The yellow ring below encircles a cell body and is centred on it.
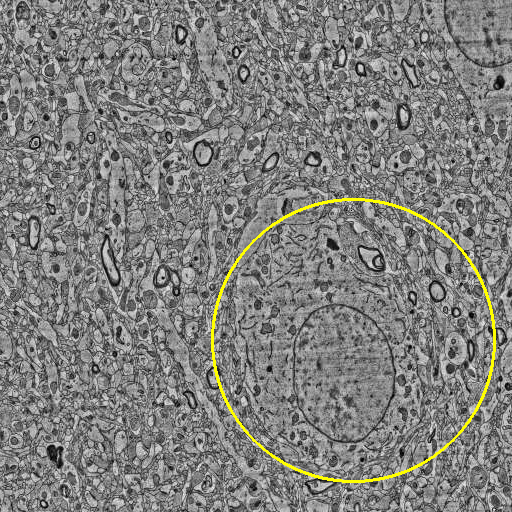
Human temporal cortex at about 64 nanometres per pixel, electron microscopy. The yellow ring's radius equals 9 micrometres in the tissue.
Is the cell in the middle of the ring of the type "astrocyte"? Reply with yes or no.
no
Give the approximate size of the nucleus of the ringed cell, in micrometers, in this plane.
Approximately 9 by 7 micrometers in this plane.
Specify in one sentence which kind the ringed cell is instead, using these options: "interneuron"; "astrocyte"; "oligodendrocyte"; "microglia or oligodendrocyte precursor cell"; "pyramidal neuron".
Instead, the cell inside the ring is a pyramidal neuron.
